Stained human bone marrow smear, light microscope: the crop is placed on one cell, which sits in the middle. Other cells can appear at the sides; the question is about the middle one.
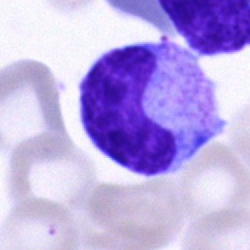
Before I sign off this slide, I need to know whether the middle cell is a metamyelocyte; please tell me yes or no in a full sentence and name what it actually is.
Yes, the middle of the crop is occupied by a metamyelocyte.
